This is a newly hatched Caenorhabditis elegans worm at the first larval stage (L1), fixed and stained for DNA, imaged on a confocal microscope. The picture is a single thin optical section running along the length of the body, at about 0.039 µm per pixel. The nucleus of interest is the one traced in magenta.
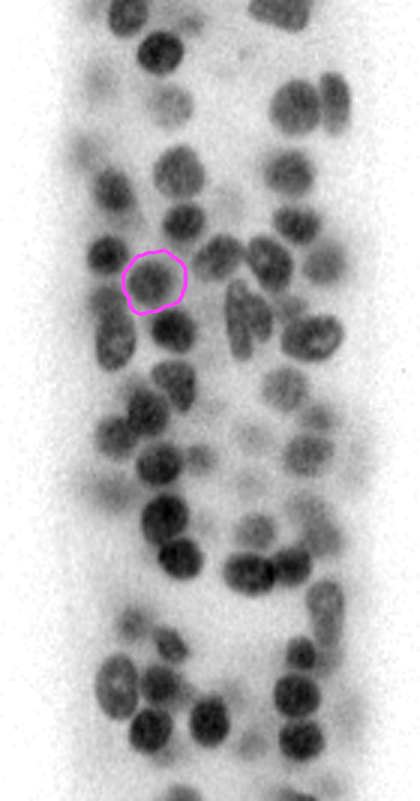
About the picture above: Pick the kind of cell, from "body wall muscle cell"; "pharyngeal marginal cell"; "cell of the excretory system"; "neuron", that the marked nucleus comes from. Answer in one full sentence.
It is the nucleus of a neuron.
